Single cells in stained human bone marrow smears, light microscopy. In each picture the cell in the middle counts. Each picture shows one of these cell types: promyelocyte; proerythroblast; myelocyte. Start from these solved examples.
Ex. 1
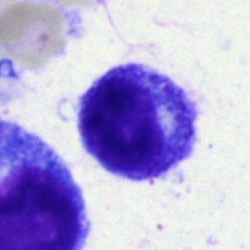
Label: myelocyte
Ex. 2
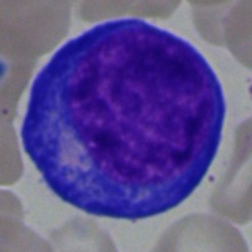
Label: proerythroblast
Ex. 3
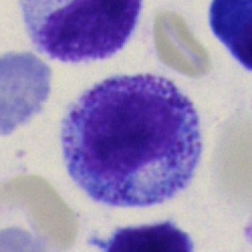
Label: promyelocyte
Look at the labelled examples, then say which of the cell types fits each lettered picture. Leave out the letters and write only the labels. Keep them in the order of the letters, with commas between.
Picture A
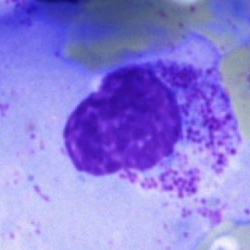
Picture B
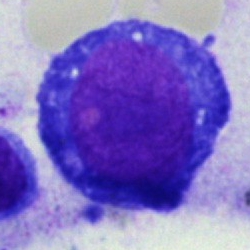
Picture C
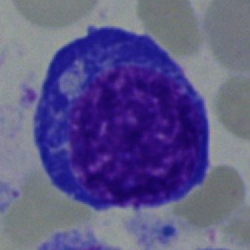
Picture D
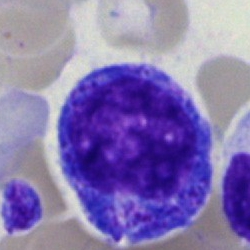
myelocyte, proerythroblast, proerythroblast, promyelocyte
